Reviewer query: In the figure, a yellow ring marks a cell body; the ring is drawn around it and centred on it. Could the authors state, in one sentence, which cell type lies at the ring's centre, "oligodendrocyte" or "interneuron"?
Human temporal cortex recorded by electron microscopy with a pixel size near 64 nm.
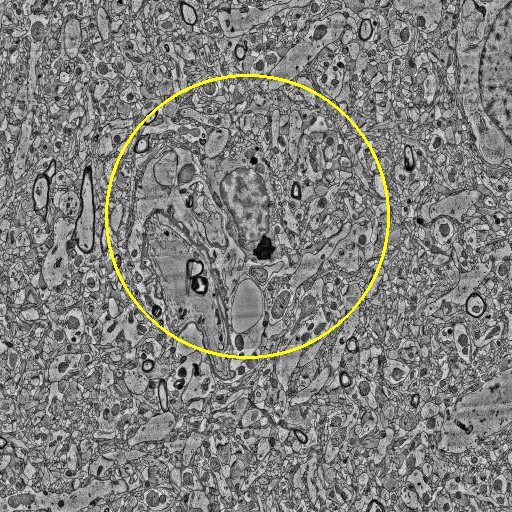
The ring is centred on an oligodendrocyte.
